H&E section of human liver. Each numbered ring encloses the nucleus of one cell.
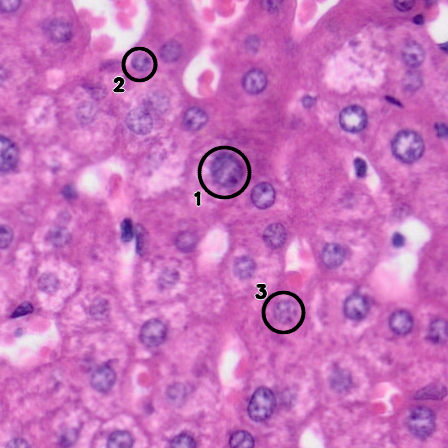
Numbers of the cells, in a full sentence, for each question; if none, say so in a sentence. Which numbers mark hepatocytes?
Into the category of hepatocytes fall the cells numbered 1 and 3.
